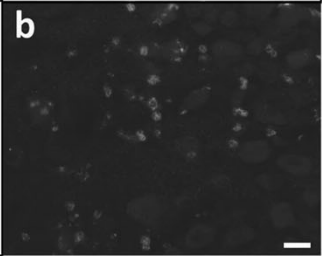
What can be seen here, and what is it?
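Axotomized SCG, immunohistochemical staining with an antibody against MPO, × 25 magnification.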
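This is a section of a ganglion in which many small, bright white neutrophils are scattered through the tissue. Each stained cell is only a few micrometres across and looks granular or clumped rather than evenly filled. The bright cells sit in those spaces between the large cell bodies, singly or in loose small groups, without any orderly arrangement or layering.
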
